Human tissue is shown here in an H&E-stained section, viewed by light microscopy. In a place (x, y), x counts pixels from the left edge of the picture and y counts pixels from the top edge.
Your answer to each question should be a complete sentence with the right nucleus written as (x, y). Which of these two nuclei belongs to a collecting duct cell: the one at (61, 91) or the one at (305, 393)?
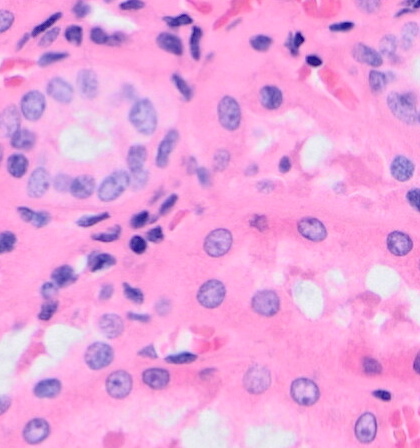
The nucleus positioned at (61, 91) forms part of a collecting duct cell.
